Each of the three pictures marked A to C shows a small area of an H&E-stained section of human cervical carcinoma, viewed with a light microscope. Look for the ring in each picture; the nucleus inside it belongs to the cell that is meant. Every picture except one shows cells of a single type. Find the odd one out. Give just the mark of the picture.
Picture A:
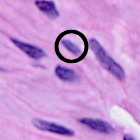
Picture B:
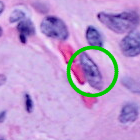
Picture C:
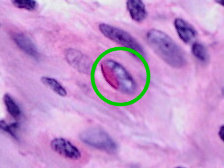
A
